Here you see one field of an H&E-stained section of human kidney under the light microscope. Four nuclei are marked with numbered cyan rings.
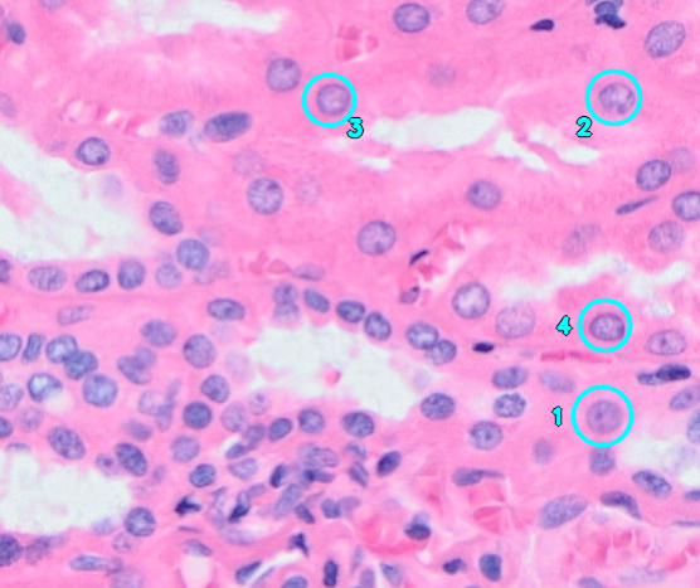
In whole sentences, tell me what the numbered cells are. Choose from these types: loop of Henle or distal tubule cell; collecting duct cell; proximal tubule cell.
Cell 1 is a loop of Henle or distal tubule cell, cell 2 is a proximal tubule cell, cell 3 is a proximal tubule cell and cell 4 is a proximal tubule cell.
